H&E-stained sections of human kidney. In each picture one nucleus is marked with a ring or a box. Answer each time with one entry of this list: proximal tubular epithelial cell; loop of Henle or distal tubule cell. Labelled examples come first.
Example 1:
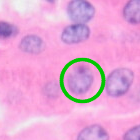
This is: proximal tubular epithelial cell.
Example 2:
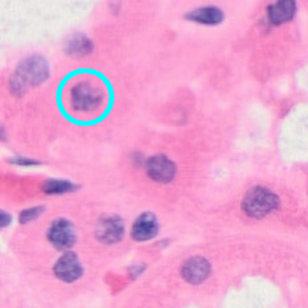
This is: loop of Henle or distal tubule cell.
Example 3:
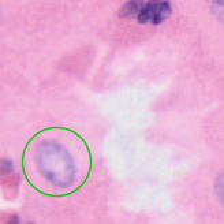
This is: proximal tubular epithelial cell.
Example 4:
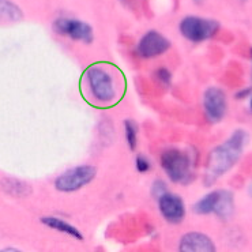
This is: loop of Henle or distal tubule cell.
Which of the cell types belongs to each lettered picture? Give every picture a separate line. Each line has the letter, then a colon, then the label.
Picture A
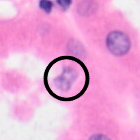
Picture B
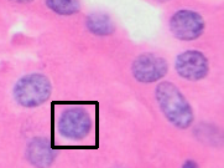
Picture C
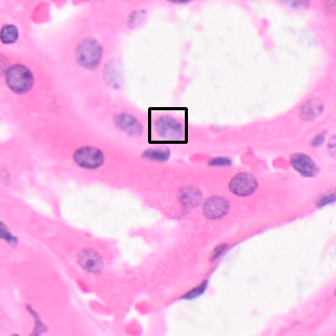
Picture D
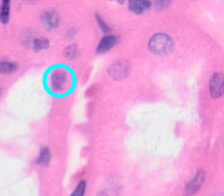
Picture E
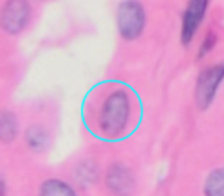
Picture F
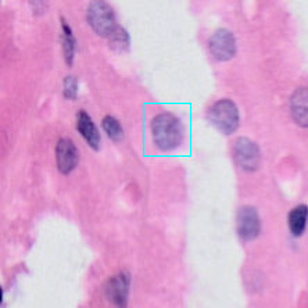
A: proximal tubular epithelial cell.
B: loop of Henle or distal tubule cell.
C: loop of Henle or distal tubule cell.
D: loop of Henle or distal tubule cell.
E: loop of Henle or distal tubule cell.
F: loop of Henle or distal tubule cell.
